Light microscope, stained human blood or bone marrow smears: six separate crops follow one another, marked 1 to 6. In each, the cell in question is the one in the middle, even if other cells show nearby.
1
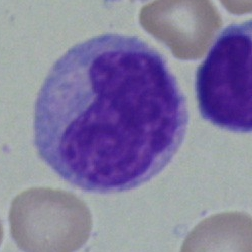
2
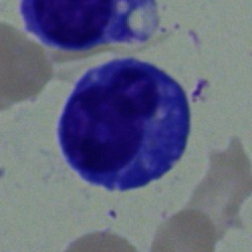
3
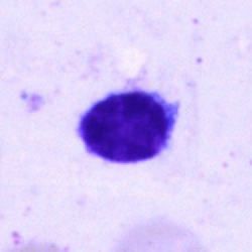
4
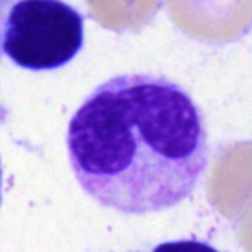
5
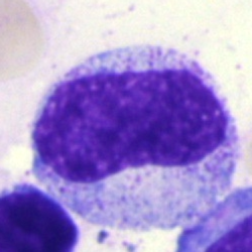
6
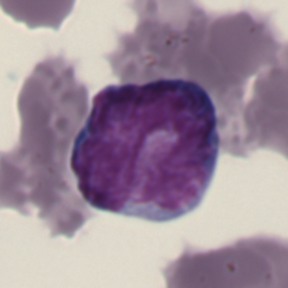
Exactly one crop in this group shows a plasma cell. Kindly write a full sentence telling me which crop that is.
Crop 2 shows a plasma cell, and no other crop does.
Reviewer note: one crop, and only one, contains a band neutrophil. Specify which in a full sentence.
Of the labeled crops, the one with a band neutrophil is crop 4.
